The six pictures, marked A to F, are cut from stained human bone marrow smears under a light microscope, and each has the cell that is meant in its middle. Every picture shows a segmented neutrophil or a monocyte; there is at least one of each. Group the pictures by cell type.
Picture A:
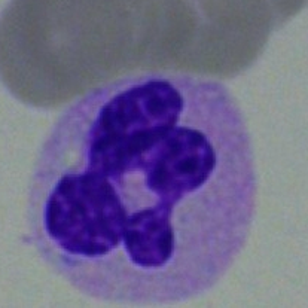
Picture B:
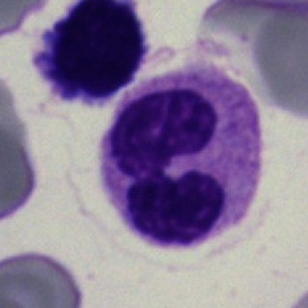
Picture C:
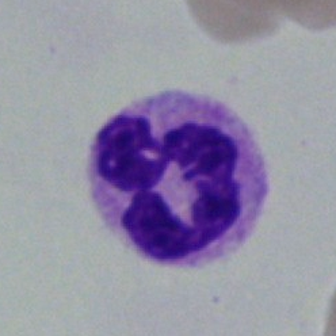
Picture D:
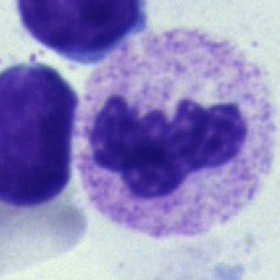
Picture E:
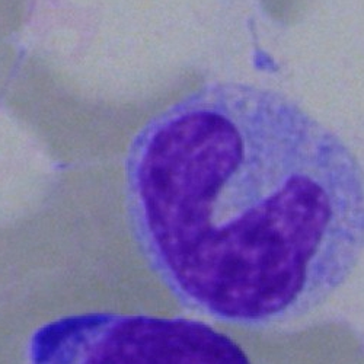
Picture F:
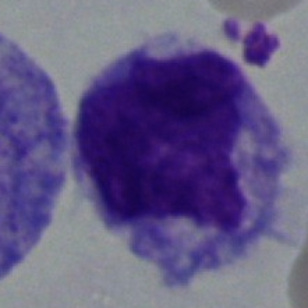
A: segmented neutrophil
B: segmented neutrophil
C: segmented neutrophil
D: segmented neutrophil
E: monocyte
F: monocyte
